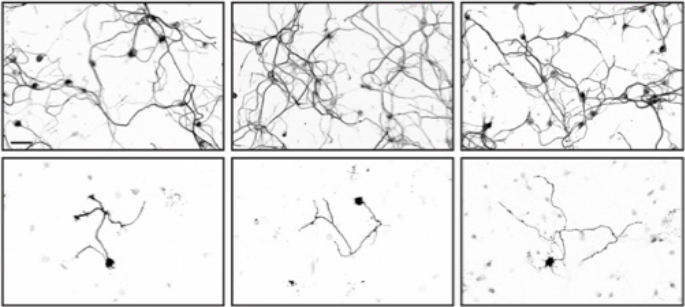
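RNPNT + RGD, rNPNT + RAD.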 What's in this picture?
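Dissociated neurons in culture, shown in dark tones on a pale background. The top row shows many scattered small round cell bodies linked by a dense, interlacing network of long, thin, branching neurites. The bottom row shows only one or two labelled cell bodies per field, each giving off a few thin, branched neurites against a background of faint unlabelled cells.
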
